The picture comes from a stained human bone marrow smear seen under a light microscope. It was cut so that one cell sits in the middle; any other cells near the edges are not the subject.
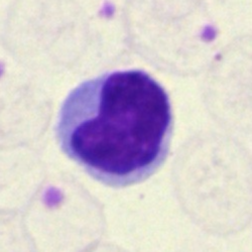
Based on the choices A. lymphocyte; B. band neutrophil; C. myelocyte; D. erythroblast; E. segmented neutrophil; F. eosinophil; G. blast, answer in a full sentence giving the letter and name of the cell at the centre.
Option A stands as correct, the central cell being a lymphocyte.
